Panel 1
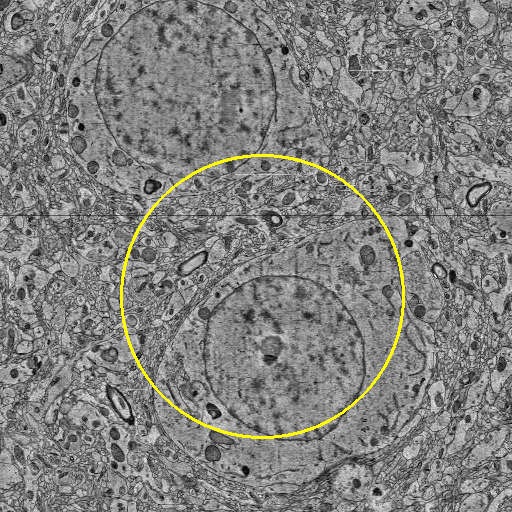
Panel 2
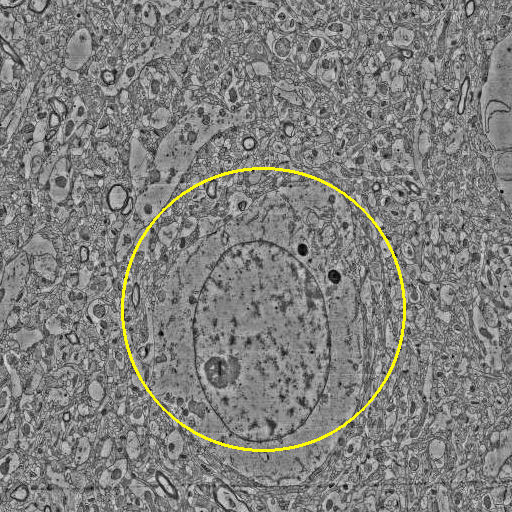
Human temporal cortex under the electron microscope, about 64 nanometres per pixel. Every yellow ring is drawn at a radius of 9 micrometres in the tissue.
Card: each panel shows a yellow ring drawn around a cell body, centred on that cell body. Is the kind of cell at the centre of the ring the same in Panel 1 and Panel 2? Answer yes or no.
yes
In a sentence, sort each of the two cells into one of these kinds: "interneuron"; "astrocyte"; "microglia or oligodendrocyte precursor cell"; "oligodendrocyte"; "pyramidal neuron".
The cell in the first picture is a pyramidal neuron, and so is the one in the second.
